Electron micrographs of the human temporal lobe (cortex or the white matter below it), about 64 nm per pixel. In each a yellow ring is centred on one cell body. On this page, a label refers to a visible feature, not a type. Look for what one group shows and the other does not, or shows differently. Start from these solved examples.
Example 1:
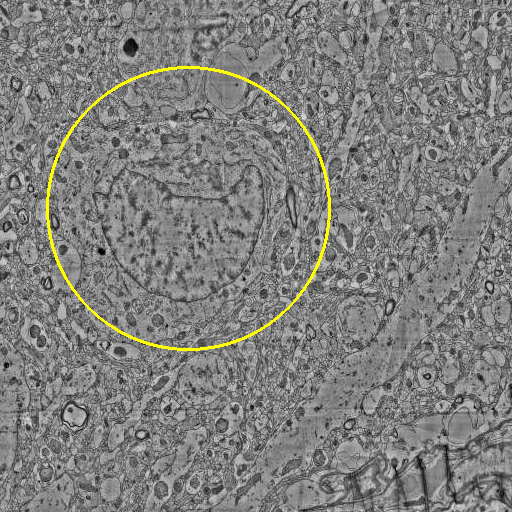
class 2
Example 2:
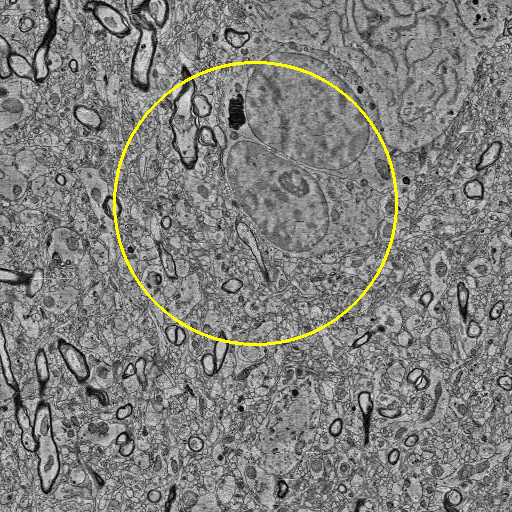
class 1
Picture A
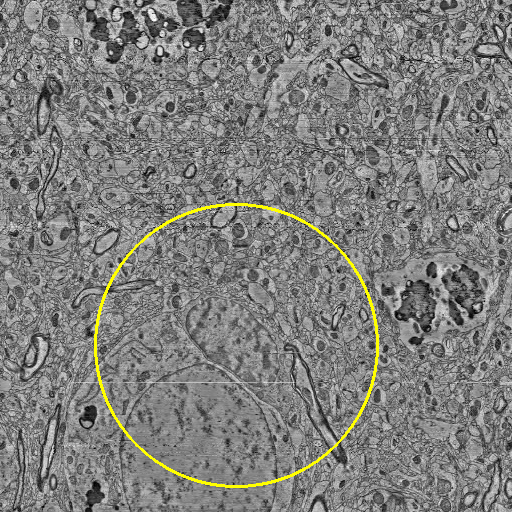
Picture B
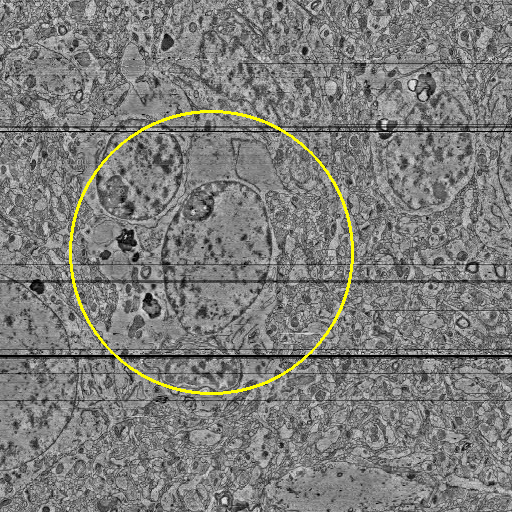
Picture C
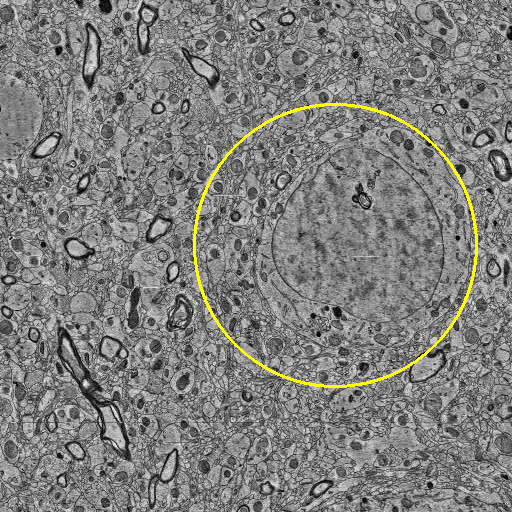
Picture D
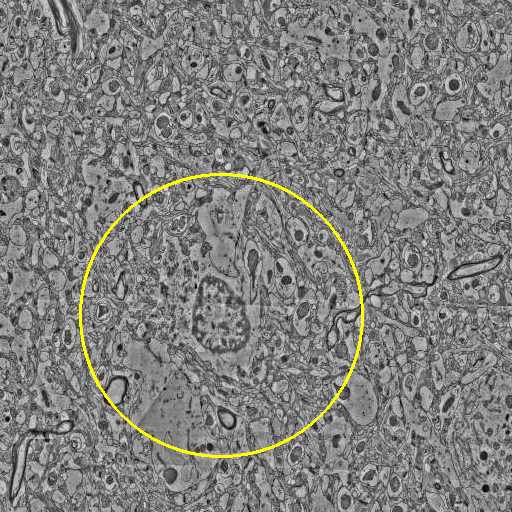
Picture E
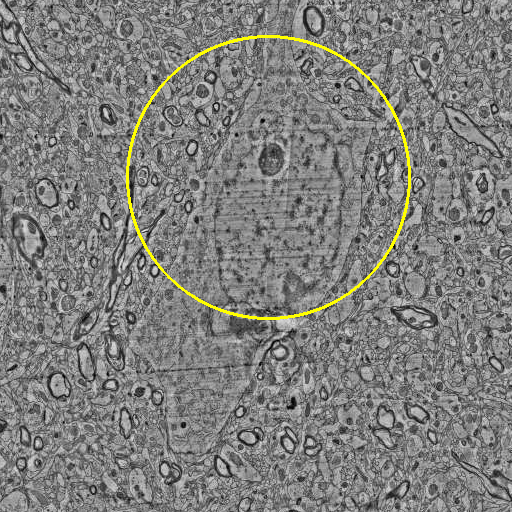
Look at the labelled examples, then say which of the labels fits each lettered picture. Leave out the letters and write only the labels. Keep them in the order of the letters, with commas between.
class 2, class 1, class 2, class 2, class 1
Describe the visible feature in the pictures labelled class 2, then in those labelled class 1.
Seen in class 2: no nucleolus seen; seen in class 1: nucleolus seen.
